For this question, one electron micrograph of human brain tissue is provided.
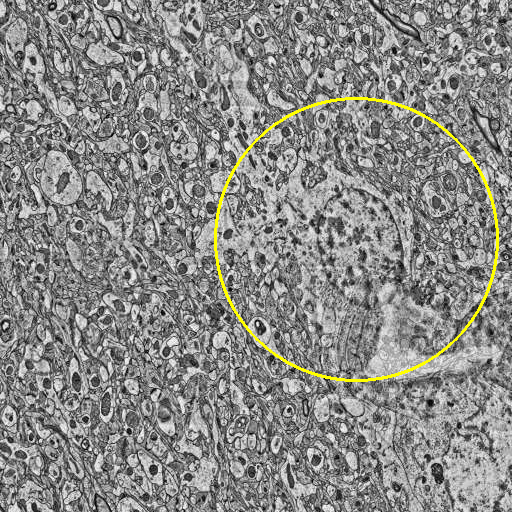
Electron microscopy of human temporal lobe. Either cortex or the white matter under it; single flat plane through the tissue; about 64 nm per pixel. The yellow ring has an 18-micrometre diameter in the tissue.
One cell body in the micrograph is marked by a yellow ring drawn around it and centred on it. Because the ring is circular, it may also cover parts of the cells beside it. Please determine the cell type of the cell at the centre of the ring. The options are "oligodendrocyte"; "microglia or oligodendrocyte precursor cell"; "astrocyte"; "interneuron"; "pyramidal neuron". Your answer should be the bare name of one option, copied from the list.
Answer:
astrocyte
